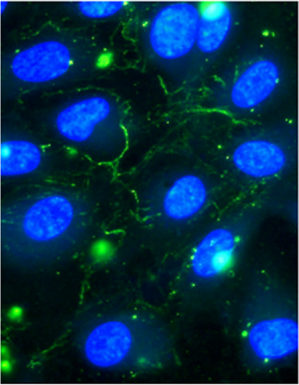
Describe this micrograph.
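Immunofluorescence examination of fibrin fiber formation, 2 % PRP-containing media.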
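The cells show as large, smooth oval nuclei in blue, closely spaced, with faint cytoplasm around them. Over and between them run thin green threads that branch and join into a loose, irregular mesh, often along the borders between cells. Scattered among the threads are small bright green dots and a few larger green blobs, some sitting on or beside nuclei.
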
